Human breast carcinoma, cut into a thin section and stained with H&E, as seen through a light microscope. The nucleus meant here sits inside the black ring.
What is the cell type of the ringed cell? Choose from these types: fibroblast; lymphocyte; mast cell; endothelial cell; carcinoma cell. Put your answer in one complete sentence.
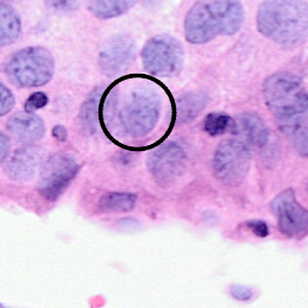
In the tissue at hand, the ringed cell is a carcinoma cell.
